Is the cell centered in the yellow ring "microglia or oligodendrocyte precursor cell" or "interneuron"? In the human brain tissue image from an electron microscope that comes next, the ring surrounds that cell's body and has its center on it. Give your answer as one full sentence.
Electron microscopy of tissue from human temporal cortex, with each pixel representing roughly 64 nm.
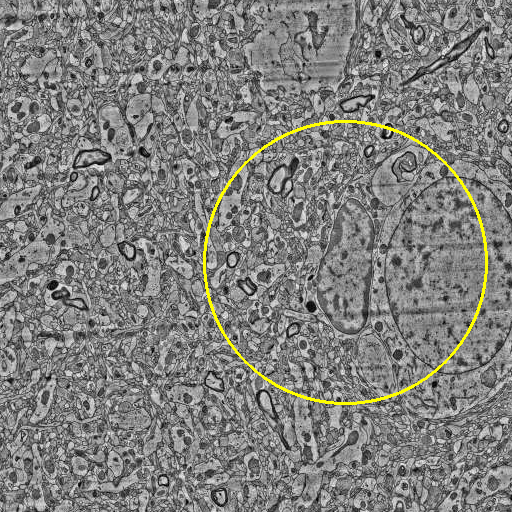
The cell at the center of the yellow ring is a microglial cell or oligodendrocyte precursor cell in the micrograph.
